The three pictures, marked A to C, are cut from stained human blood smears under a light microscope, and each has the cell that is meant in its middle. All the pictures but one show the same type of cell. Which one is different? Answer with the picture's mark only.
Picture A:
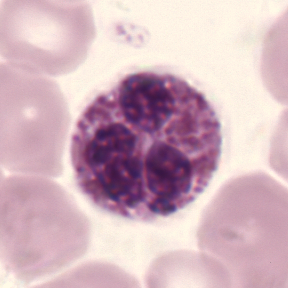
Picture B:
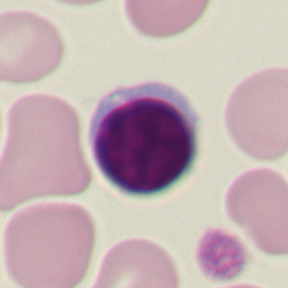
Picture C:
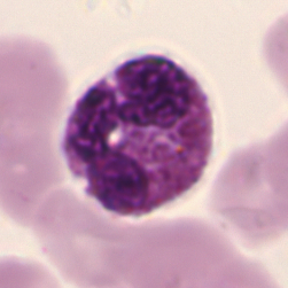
B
